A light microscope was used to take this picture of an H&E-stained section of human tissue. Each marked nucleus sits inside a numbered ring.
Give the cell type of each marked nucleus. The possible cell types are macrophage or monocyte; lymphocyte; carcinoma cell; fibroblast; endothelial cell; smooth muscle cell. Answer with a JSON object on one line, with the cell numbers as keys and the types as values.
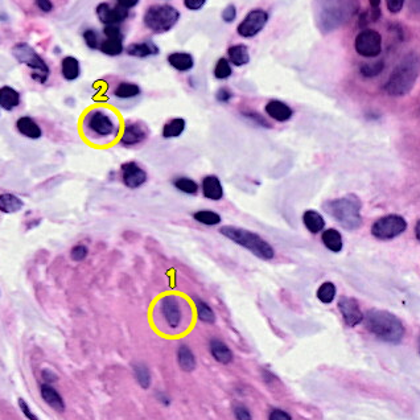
{"1": "smooth muscle cell", "2": "lymphocyte"}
